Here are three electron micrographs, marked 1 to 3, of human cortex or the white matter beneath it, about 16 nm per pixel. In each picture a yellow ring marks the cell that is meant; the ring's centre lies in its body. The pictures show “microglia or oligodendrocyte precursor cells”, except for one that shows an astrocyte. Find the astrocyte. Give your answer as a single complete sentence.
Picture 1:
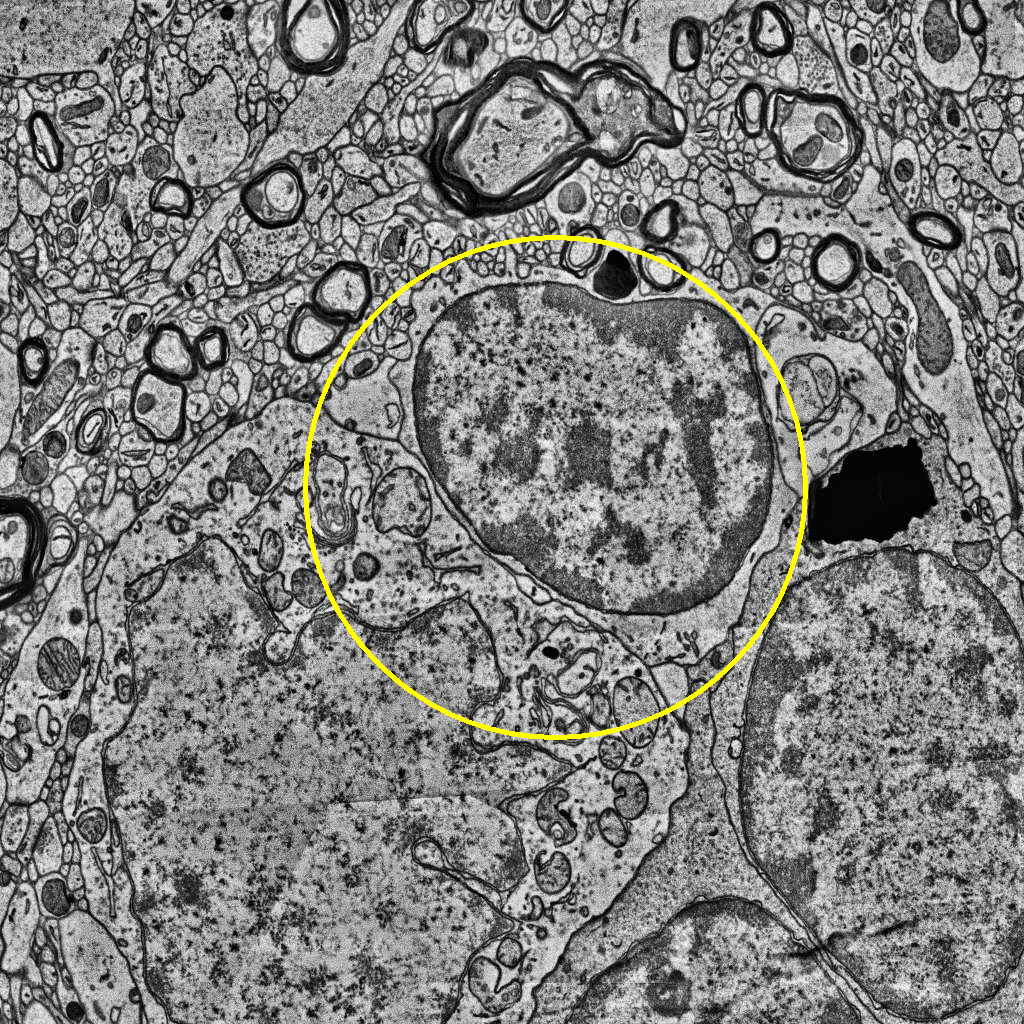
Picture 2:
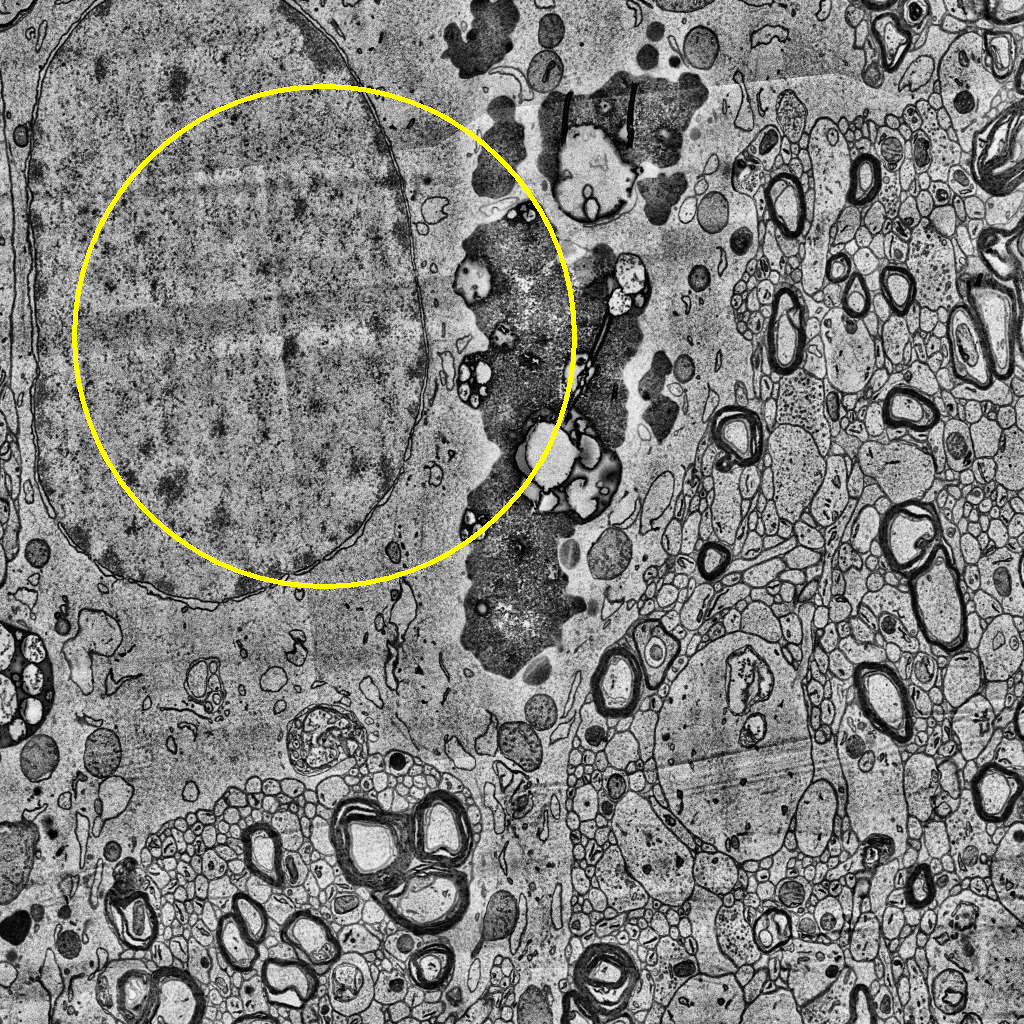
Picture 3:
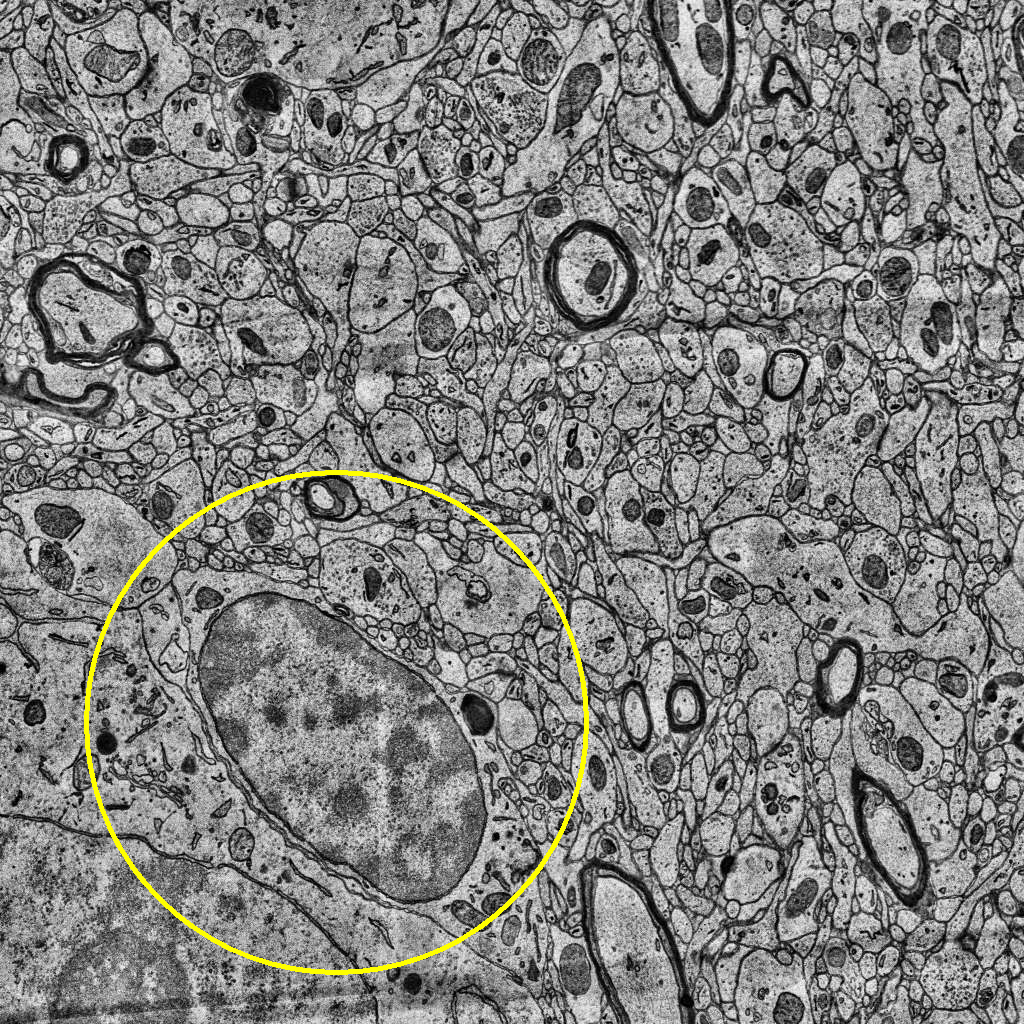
The picture with the astrocyte is 2.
